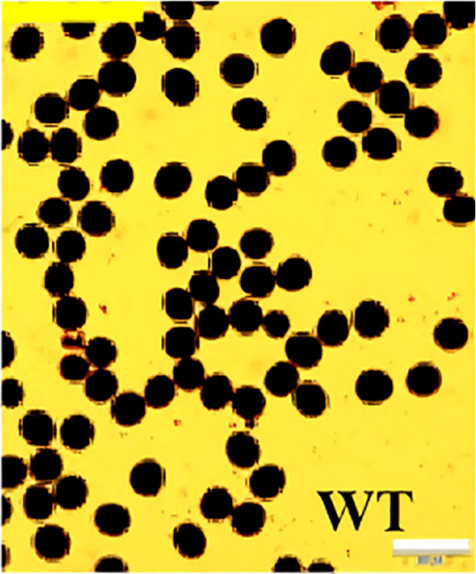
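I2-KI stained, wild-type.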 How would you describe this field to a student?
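Scattered across a pale yellow field lie many pollen grains, each a separate round body of much the same size, lying singly or touching neighbours in loose chains and clusters without forming a tissue. Every grain is stained evenly and densely black, so that no inner detail such as a nucleus or wall layer can be made out; only the smooth circular outline shows against the background.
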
